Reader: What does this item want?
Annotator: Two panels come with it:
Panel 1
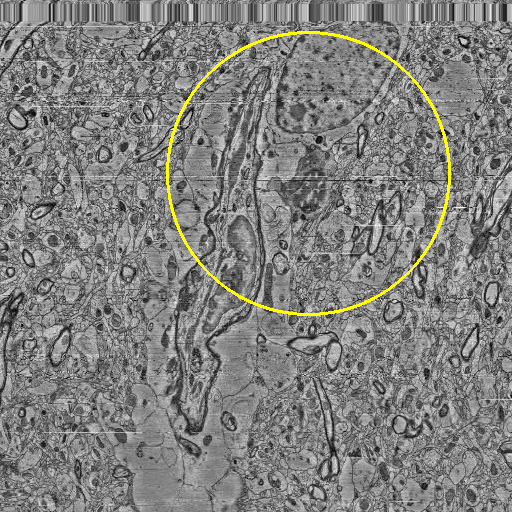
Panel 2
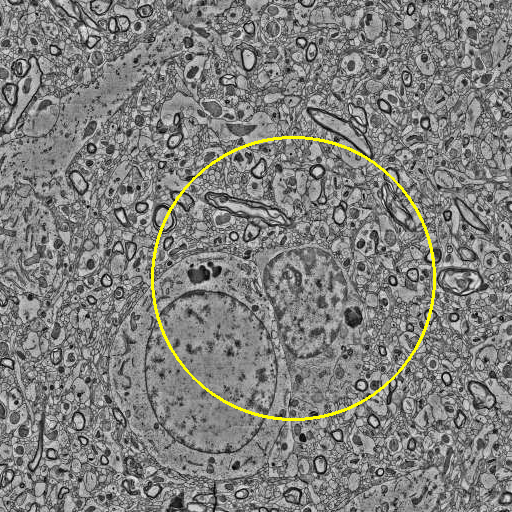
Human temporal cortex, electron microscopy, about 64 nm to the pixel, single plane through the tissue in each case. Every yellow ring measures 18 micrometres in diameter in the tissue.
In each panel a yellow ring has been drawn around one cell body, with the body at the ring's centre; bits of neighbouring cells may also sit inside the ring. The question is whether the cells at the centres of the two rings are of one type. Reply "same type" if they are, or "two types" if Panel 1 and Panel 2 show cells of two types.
same type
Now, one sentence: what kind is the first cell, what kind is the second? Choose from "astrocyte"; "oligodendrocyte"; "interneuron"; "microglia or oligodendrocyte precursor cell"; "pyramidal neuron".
In each picture the ringed cell is an oligodendrocyte.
